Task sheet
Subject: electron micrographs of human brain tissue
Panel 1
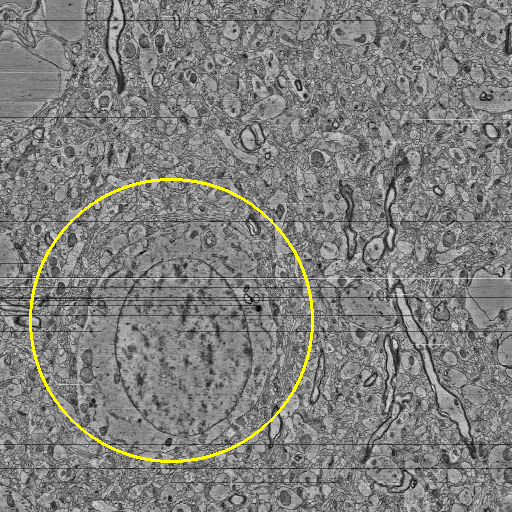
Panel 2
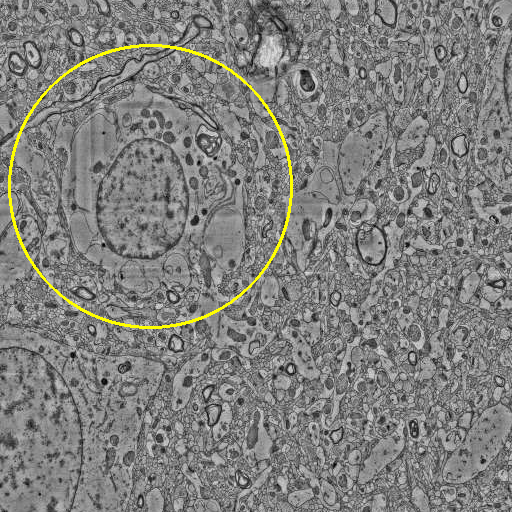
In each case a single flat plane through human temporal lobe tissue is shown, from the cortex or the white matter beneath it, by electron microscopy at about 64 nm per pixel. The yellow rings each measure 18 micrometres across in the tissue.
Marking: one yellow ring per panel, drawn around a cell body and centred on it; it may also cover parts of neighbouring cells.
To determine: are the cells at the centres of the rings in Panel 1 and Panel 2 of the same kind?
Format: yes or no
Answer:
no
